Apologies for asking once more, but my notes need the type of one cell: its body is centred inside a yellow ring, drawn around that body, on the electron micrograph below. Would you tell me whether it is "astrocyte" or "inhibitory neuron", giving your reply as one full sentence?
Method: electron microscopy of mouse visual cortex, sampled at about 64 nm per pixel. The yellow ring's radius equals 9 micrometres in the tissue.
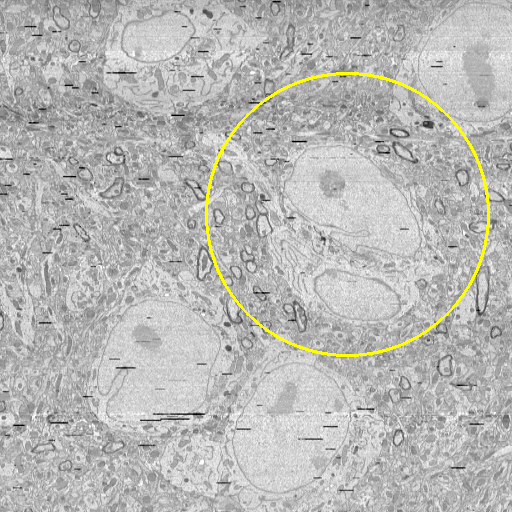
The cell that the yellow ring is centred on is an inhibitory neuron in this micrograph.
